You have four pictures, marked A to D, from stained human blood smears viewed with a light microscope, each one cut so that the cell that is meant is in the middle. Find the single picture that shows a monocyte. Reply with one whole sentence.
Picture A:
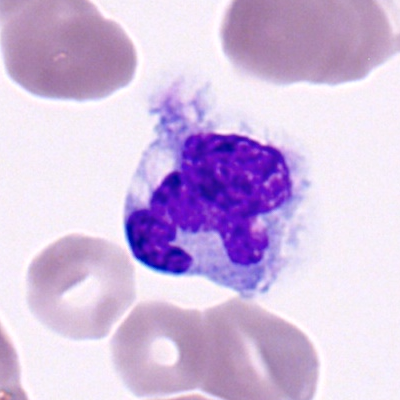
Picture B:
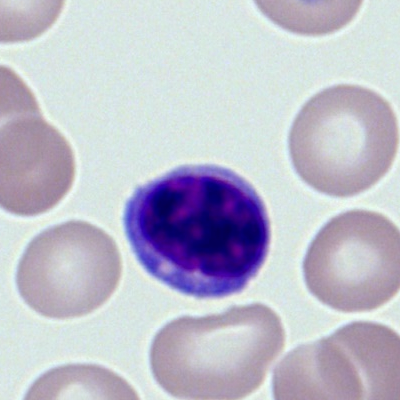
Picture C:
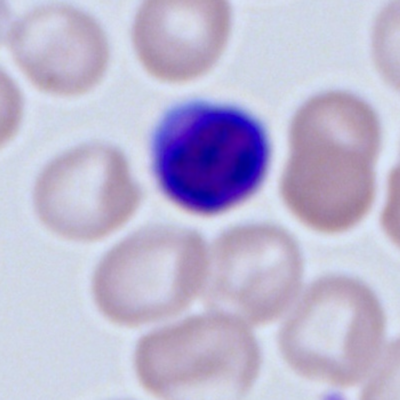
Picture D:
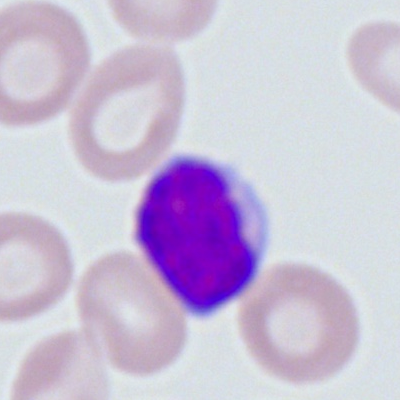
The cell in picture A is the monocyte.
